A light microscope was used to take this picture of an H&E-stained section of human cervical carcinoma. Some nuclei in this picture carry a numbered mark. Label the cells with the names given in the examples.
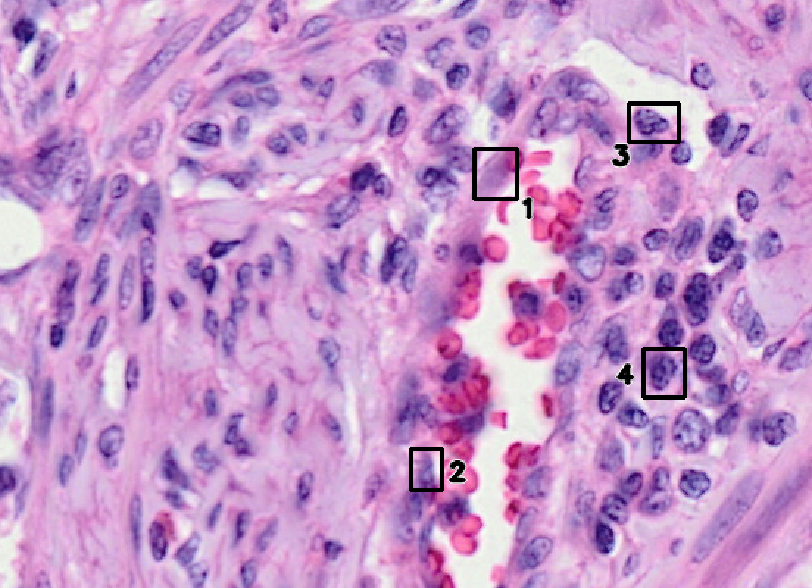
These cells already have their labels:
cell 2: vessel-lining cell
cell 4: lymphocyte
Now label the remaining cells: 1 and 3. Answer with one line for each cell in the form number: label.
1: vessel-lining cell
3: lymphocyte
